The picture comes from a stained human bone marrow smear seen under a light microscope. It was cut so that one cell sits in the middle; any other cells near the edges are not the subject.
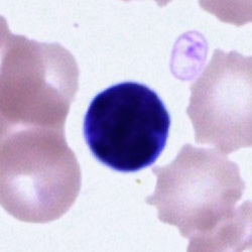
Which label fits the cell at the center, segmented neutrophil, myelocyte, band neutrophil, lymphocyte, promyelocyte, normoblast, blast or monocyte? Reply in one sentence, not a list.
The cell centered in this field of view is a lymphocyte.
